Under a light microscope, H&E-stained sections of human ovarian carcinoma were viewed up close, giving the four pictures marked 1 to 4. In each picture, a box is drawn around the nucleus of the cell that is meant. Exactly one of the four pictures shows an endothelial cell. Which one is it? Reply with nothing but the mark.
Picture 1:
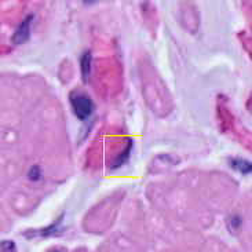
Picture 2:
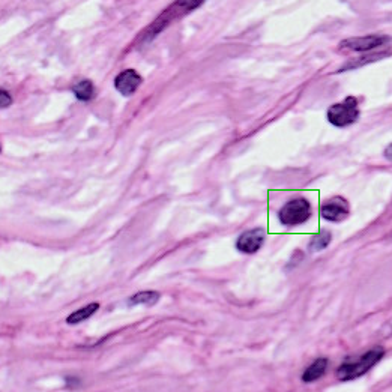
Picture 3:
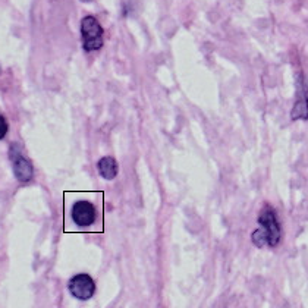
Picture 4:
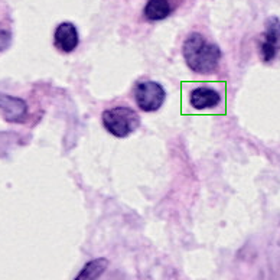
1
